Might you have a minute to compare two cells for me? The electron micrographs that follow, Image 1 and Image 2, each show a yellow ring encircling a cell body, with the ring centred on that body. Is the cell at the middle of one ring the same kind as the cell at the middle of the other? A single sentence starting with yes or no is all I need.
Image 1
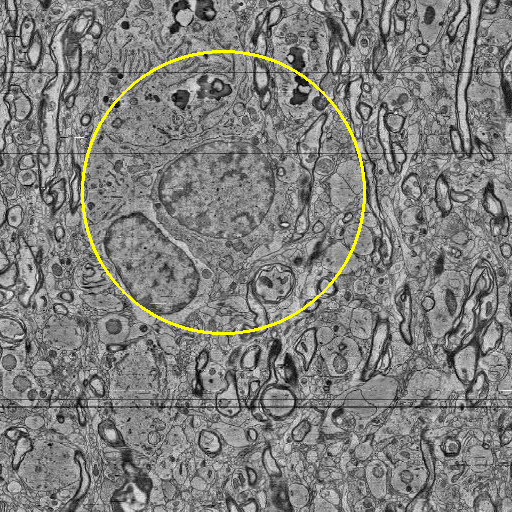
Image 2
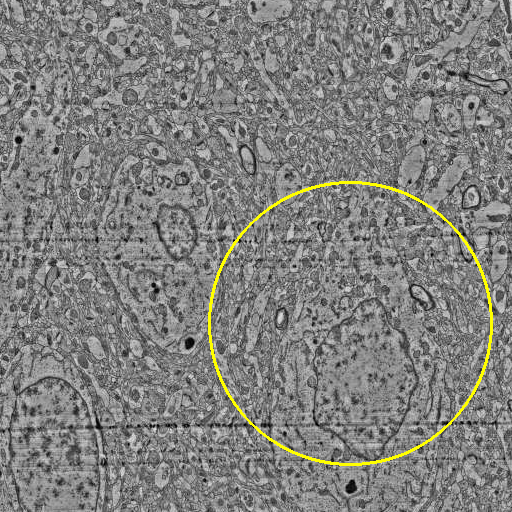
No, the cells in the middle of the two rings are of two separate kinds.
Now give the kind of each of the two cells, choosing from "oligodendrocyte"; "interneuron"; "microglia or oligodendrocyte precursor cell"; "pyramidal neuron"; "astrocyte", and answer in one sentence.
The cell in the first picture is an oligodendrocyte, and the cell in the second is a pyramidal neuron.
